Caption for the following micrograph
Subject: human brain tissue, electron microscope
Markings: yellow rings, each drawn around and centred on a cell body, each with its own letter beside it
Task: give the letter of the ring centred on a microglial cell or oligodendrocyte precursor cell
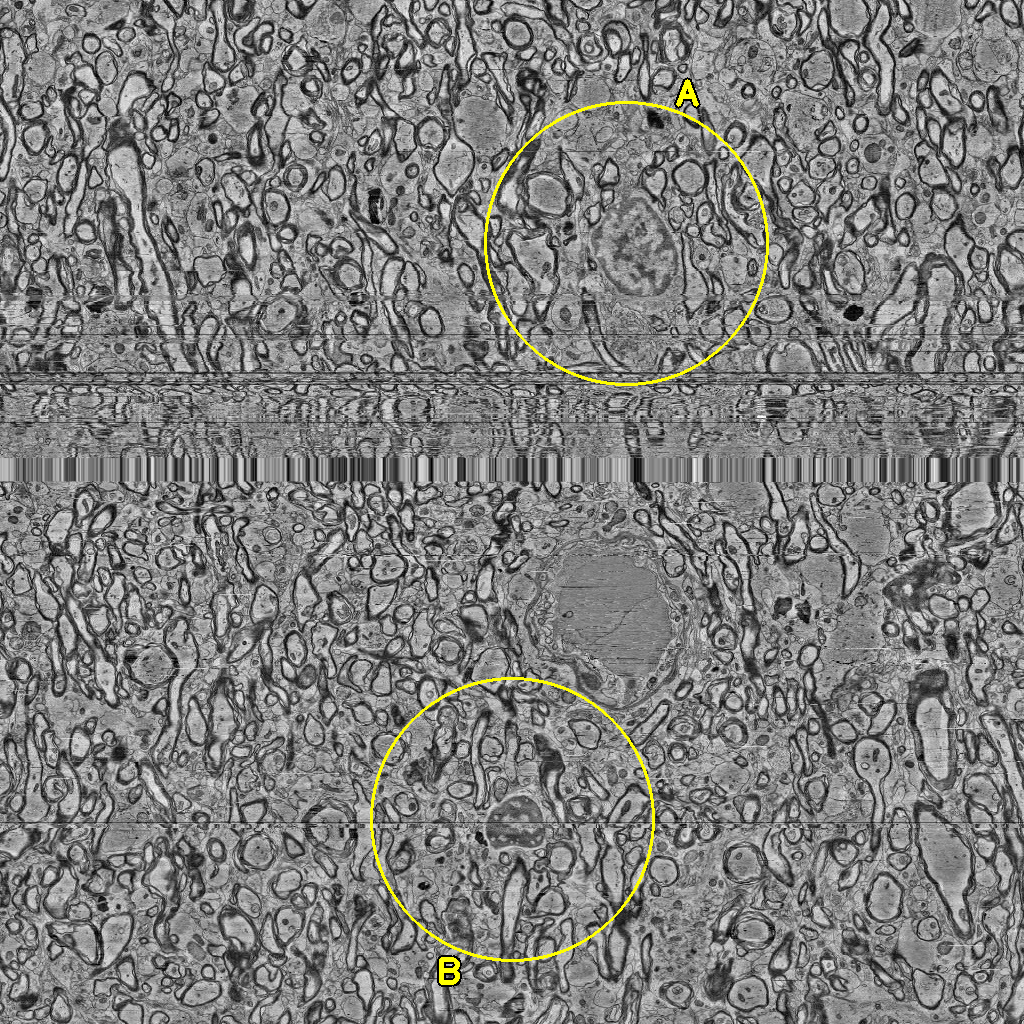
B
